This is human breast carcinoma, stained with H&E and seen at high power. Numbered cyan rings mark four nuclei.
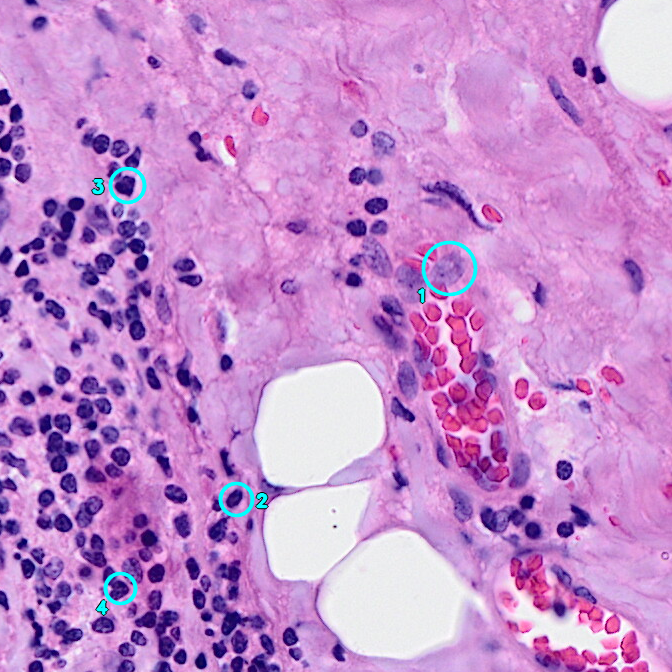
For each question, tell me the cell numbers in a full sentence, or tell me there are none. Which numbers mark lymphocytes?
The cells tagged with numbers 2, 3 and 4 are lymphocytes.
